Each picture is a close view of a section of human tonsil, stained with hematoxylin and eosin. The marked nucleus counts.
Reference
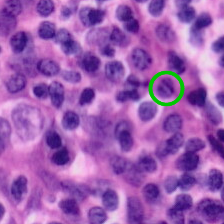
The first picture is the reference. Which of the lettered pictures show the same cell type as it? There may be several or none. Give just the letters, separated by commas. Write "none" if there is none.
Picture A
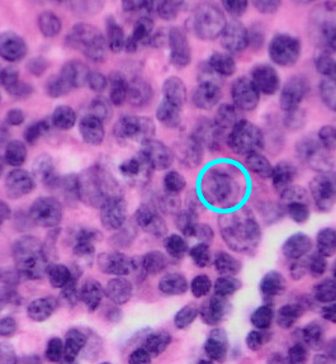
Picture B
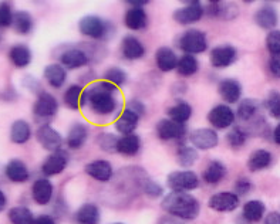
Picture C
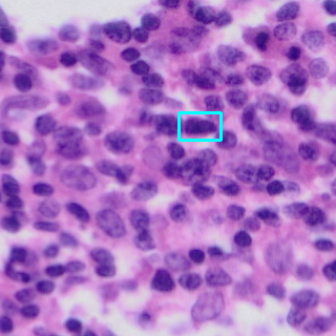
none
